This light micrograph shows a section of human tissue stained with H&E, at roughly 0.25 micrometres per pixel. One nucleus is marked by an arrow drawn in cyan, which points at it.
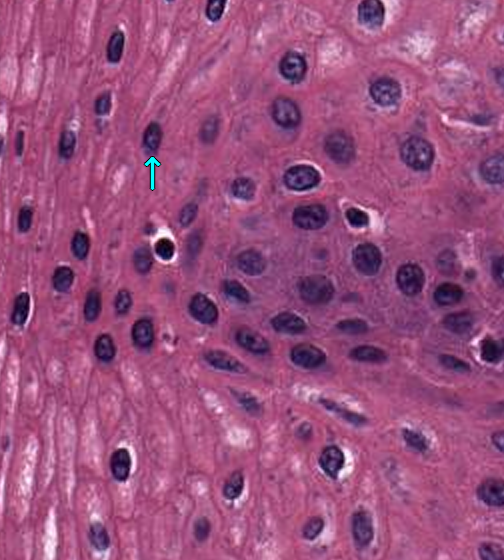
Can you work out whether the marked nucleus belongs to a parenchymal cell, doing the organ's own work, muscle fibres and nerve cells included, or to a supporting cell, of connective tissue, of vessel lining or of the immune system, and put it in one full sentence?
The marked nucleus is contained in a parenchymal cell, namely a squamous epithelial cell.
